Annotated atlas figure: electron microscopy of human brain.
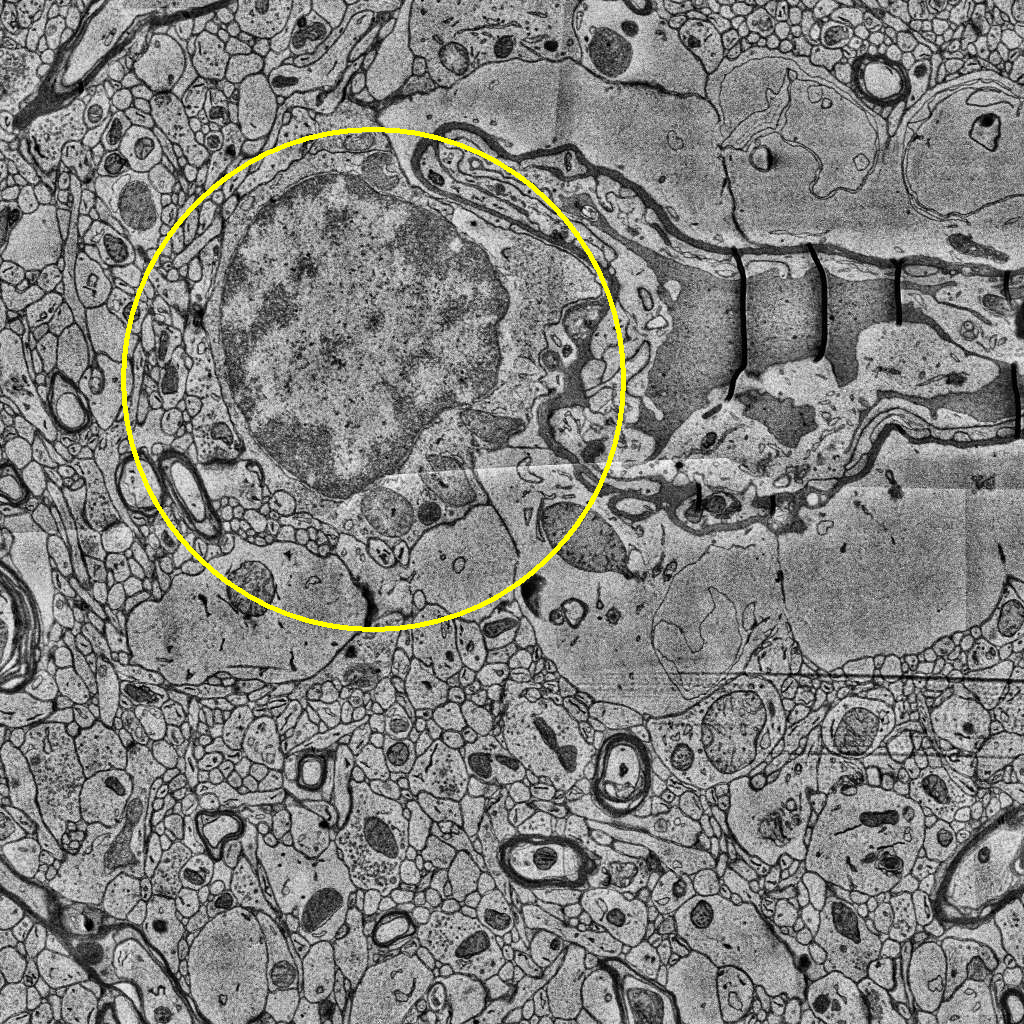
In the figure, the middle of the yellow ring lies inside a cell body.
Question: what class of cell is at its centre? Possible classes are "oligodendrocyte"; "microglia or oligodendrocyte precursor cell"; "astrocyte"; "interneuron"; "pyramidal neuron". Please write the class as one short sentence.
The yellow ring's centre lies in an oligodendrocyte.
